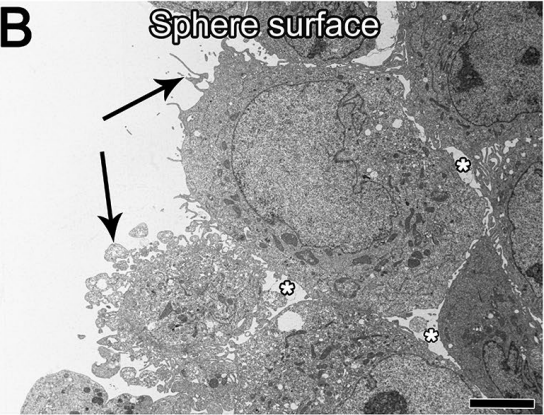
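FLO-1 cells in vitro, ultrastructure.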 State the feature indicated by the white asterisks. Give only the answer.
large intercellular spaces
